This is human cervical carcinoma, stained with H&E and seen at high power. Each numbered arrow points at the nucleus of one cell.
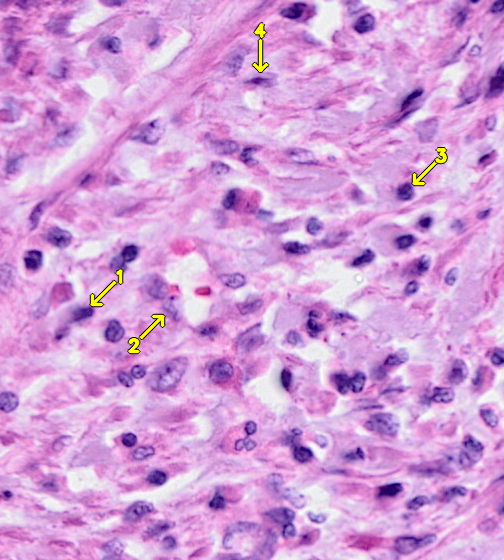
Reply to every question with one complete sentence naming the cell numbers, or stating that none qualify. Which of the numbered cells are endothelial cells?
Cell 2 is an endothelial cell, which is true of none of the other numbered cells.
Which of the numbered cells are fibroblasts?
The sole numbered cell that is a fibroblast is cell 4.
